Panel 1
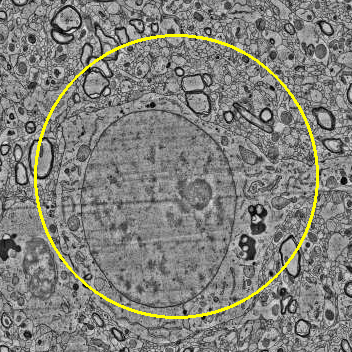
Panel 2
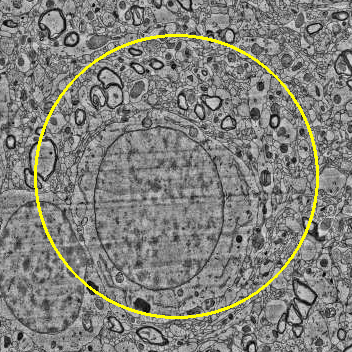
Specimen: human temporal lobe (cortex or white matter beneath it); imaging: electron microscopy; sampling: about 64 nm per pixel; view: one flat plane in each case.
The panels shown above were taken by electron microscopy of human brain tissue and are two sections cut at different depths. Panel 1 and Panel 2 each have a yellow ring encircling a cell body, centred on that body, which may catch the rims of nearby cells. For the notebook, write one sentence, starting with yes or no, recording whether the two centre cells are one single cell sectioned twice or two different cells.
Yes, these two rings point to one cell rather than two.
